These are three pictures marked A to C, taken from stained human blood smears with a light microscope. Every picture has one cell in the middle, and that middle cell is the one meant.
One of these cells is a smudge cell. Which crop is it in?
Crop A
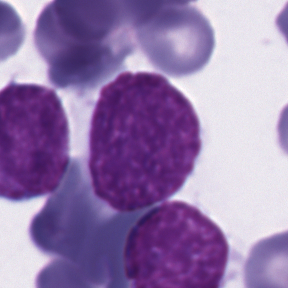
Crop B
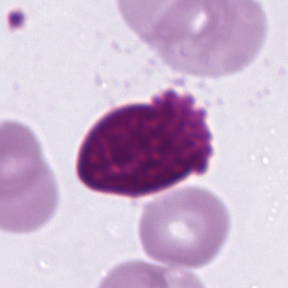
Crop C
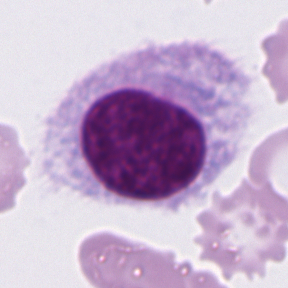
B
